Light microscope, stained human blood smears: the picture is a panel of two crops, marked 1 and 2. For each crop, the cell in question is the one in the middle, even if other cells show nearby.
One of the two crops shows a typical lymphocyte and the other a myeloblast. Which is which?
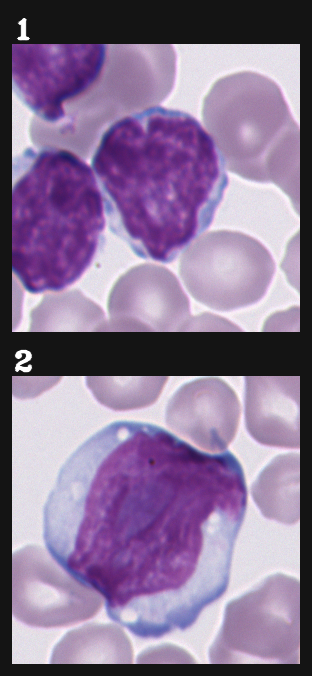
1: typical lymphocyte
2: myeloblast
